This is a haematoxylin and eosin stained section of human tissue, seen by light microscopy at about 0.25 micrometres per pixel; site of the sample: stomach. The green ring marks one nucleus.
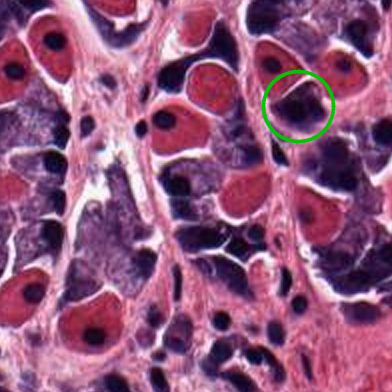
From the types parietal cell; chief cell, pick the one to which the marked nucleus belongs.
chief cell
